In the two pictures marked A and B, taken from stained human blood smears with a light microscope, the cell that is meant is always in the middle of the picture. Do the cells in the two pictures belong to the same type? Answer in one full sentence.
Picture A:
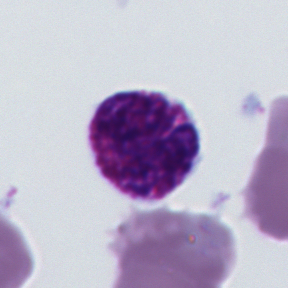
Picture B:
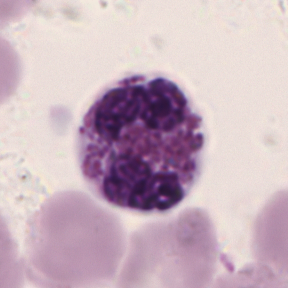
Yes; the cells in both pictures are eosinophils.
